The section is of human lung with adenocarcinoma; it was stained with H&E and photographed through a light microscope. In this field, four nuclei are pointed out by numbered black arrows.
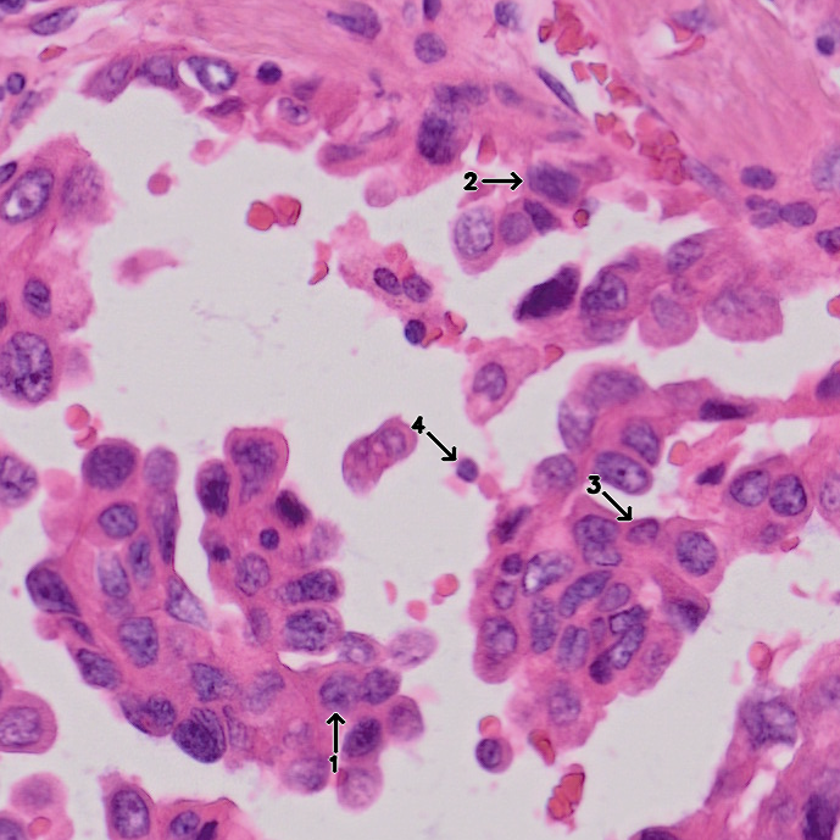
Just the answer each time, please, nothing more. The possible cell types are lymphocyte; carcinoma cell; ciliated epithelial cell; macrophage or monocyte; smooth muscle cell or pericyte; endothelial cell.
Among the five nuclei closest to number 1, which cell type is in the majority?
carcinoma cell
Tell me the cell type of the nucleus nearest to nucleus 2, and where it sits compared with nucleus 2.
a carcinoma cell; below nucleus 2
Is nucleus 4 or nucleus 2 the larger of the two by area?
2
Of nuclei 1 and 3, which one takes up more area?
1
